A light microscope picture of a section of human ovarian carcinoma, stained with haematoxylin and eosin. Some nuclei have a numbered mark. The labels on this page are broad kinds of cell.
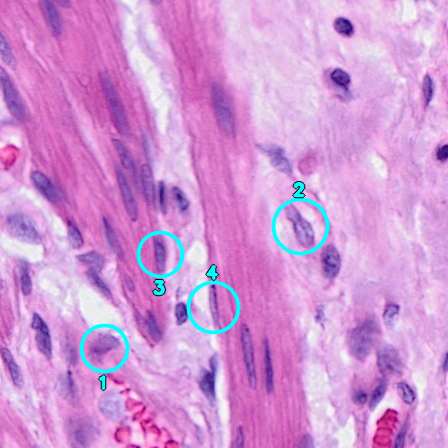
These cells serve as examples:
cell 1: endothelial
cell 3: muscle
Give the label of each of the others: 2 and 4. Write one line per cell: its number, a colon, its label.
2: endothelial
4: muscle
